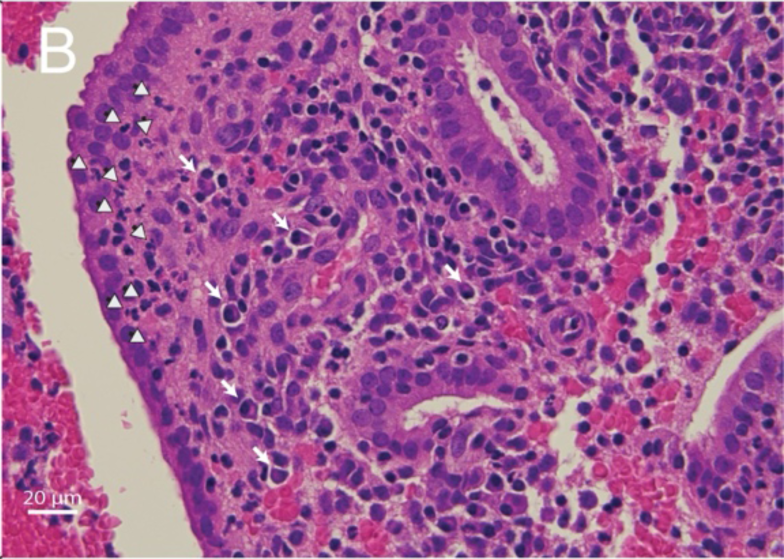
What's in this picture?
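This is endometrium with a columnar surface epithelium, glands and a stroma crowded with inflammatory cells. Many round stromal cells have dark, eccentric nuclei with a pale perinuclear halo, as plasma cells do, and small dark-nucleated cells lie within the surface epithelium, as neutrophils do. Red blood cells are scattered through the stroma between the glands.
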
